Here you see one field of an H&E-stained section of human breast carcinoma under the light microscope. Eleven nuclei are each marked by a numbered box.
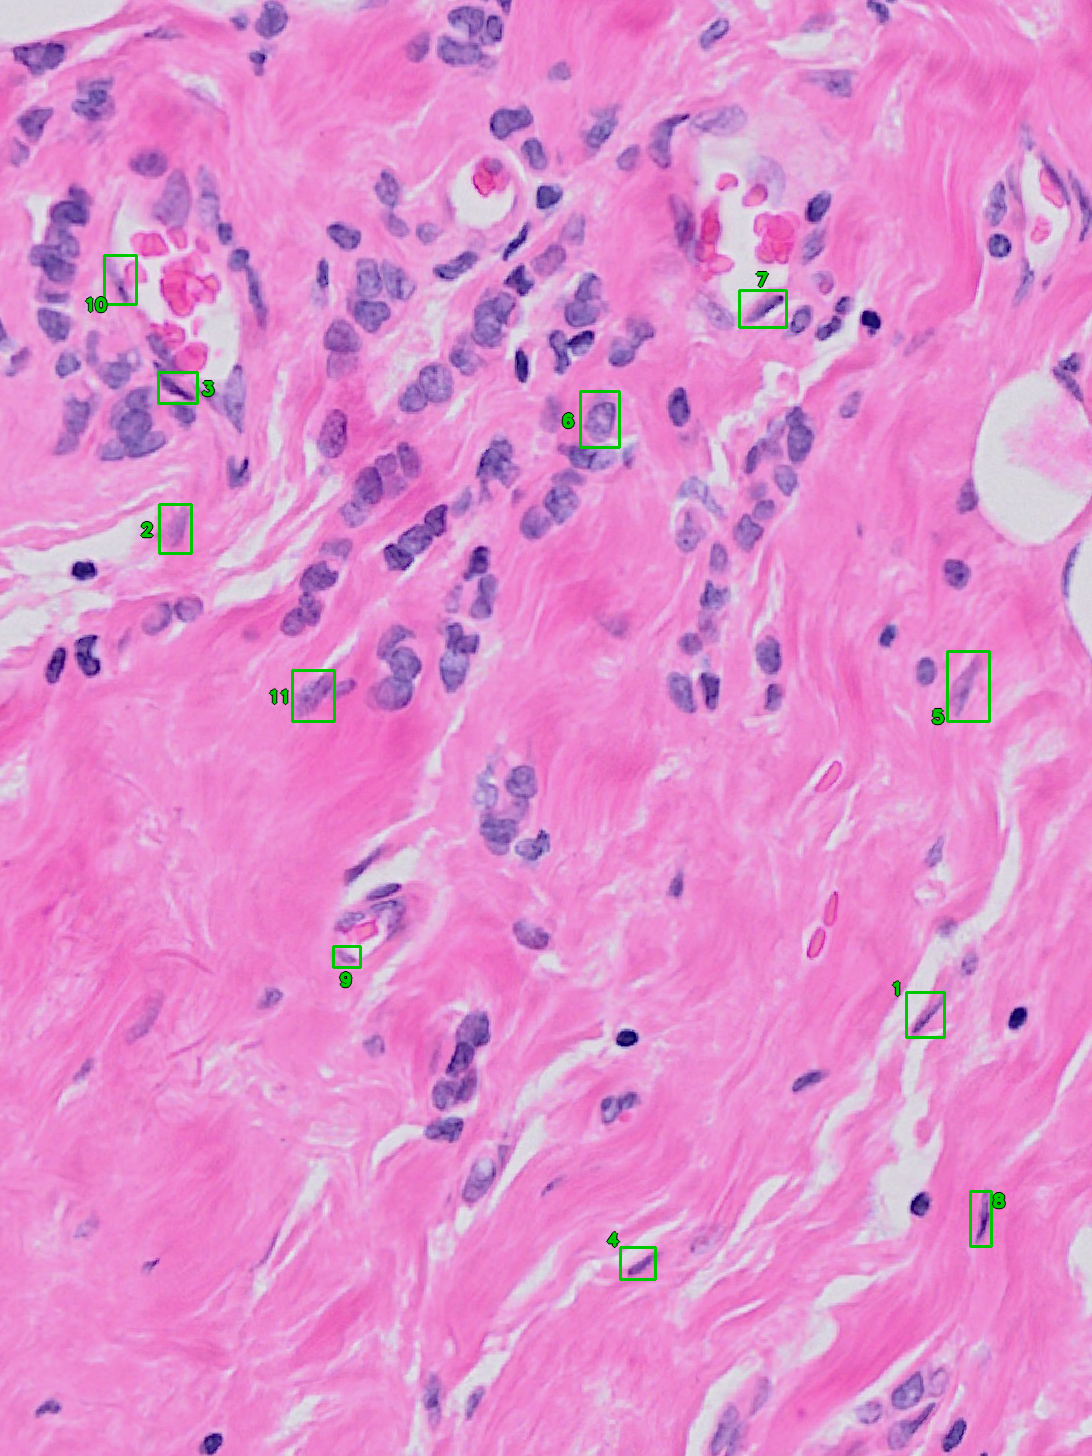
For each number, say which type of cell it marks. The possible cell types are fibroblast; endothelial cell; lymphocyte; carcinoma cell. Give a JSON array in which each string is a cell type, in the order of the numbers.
["fibroblast", "fibroblast", "endothelial cell", "fibroblast", "fibroblast", "carcinoma cell", "endothelial cell", "fibroblast", "endothelial cell", "endothelial cell", "fibroblast"]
